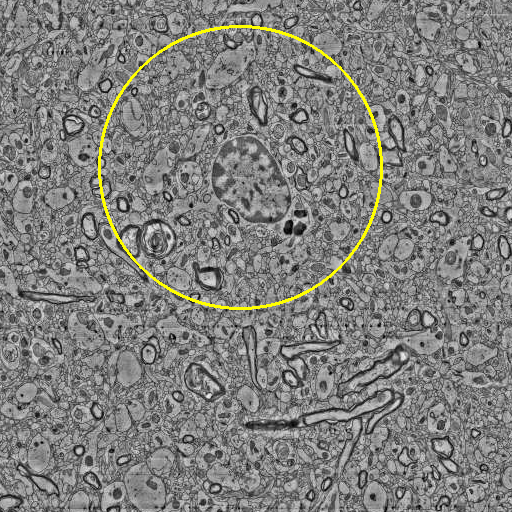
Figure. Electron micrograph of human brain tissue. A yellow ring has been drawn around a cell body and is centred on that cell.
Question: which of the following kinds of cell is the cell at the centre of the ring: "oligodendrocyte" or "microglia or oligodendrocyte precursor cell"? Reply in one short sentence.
The cell at the centre of the ring is a microglial cell or oligodendrocyte precursor cell.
